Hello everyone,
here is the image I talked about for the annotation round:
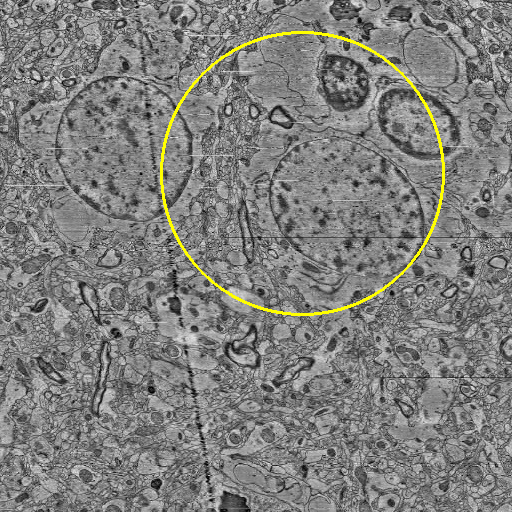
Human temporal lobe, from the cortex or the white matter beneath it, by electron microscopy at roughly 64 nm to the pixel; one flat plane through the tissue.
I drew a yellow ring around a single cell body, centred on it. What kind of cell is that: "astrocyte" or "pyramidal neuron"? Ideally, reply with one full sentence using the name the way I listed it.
The cell your yellow ring is centred on is an astrocyte, going by your list.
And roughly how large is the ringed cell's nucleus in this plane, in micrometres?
Approximately 11 micrometres long and 8 micrometres wide, in this plane.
